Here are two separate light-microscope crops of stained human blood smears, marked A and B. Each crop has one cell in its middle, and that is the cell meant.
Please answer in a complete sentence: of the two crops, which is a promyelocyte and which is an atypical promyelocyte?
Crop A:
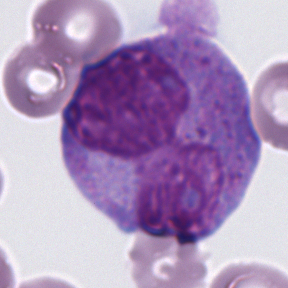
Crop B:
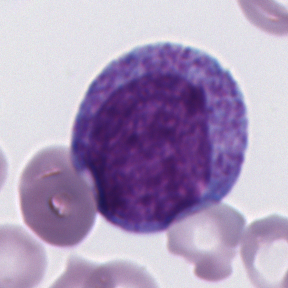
So, crop A is an atypical promyelocyte, and crop B is a promyelocyte.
